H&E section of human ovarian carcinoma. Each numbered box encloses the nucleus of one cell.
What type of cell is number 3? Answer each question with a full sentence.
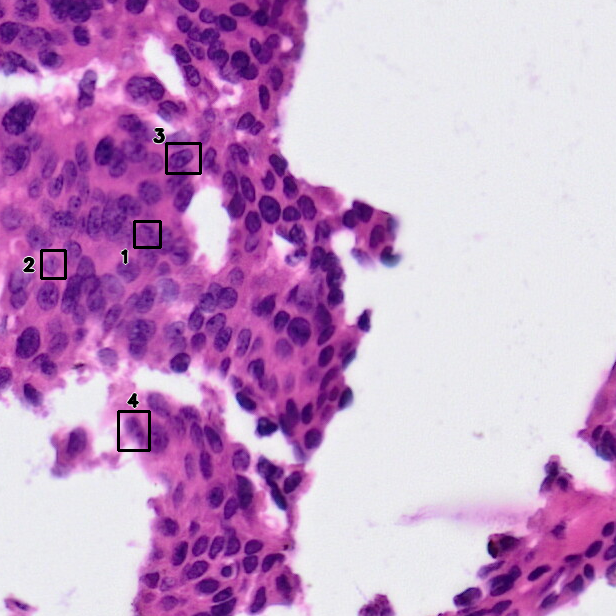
Here, the cell given the number 3 is a carcinoma cell.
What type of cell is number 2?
The cell referenced by the number 2 is a macrophage or monocyte in this field.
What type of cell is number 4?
It is as a carcinoma cell that the cell numbered 4 is identified.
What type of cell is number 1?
Cell 1 of the marked set is a carcinoma cell.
